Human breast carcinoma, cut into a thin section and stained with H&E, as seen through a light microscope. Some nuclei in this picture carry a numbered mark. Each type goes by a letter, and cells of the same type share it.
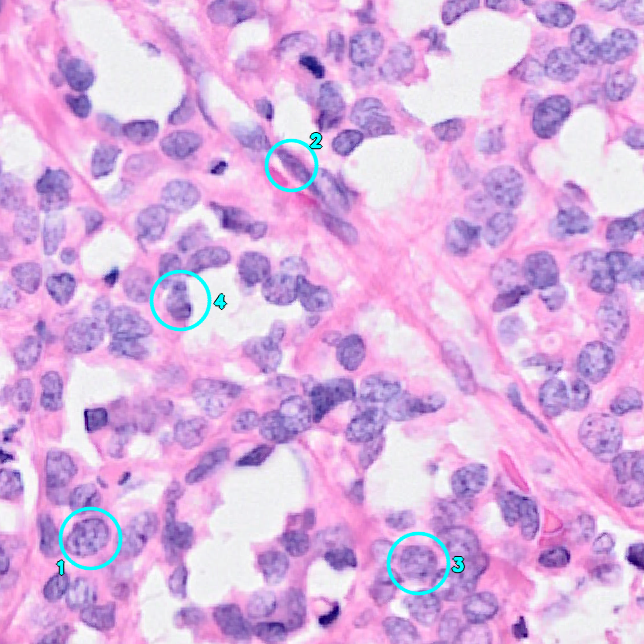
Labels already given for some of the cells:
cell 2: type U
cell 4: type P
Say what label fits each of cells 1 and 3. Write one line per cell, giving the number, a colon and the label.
1: type P
3: type P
